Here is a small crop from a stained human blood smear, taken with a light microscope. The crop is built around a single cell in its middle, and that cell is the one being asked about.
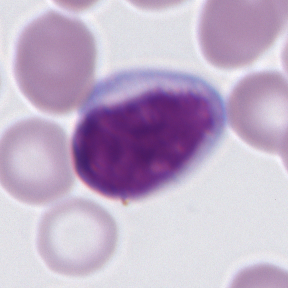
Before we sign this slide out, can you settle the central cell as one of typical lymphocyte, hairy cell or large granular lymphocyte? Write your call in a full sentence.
The cell under consideration, at the middle of the crop, is a large granular lymphocyte.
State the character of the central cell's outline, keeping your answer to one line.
Edge check done: smooth outline, no projections present.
